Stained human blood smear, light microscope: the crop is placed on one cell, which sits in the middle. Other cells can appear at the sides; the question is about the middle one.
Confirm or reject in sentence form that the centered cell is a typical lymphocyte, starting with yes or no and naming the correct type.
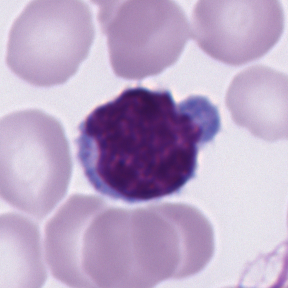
Yes, in the middle of the crop is a typical lymphocyte.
